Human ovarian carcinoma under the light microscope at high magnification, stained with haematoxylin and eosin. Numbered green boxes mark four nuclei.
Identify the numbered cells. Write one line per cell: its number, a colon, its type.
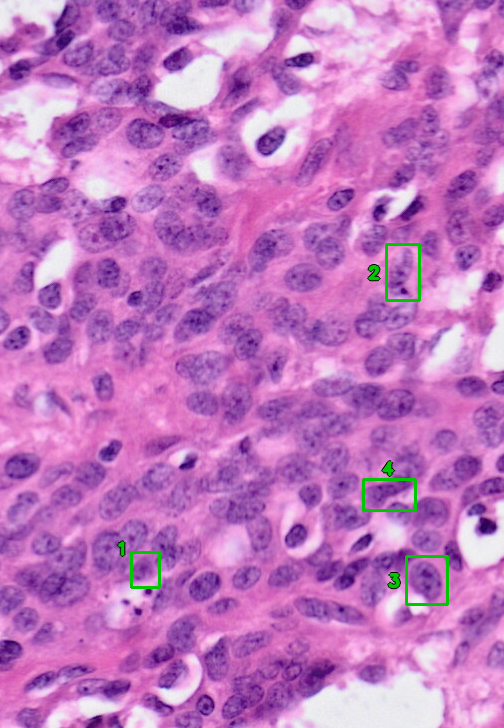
1: carcinoma cell
2: macrophage or monocyte
3: carcinoma cell
4: carcinoma cell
